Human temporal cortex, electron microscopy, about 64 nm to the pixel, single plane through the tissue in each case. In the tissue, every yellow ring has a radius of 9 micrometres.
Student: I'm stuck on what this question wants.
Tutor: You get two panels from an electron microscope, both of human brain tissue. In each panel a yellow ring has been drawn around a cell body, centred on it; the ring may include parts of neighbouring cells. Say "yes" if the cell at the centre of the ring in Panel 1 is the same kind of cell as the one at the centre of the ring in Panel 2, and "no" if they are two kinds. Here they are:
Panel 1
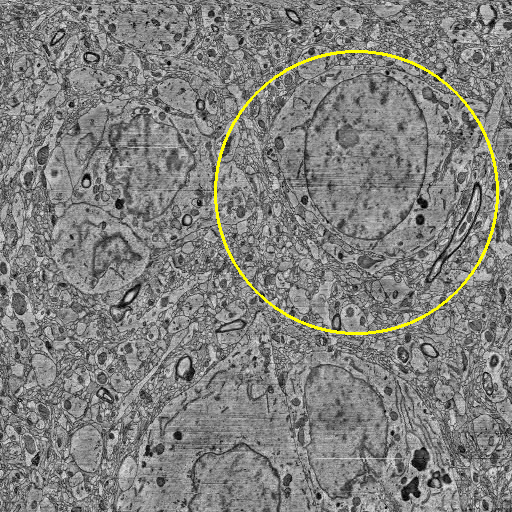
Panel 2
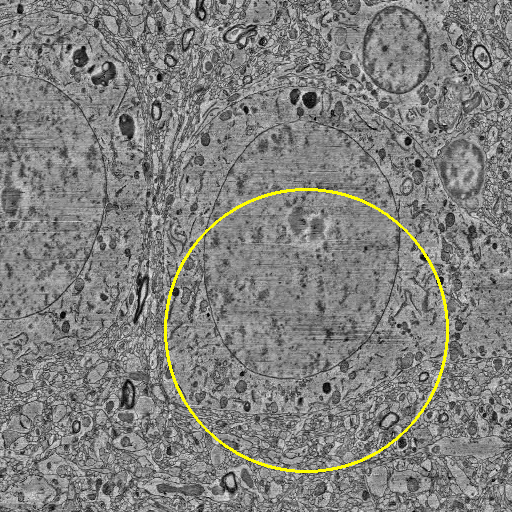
yes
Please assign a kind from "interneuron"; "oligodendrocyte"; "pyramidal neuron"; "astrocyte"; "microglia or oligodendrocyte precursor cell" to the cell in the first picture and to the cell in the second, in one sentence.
Each of the two rings is centred on a pyramidal neuron.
